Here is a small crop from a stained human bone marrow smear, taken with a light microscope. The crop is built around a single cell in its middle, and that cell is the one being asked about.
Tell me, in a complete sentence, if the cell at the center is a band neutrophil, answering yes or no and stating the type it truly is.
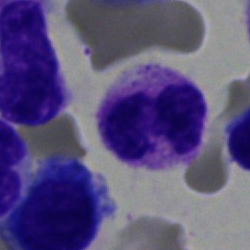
No, not a band neutrophil here; the centered cell is a segmented neutrophil.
